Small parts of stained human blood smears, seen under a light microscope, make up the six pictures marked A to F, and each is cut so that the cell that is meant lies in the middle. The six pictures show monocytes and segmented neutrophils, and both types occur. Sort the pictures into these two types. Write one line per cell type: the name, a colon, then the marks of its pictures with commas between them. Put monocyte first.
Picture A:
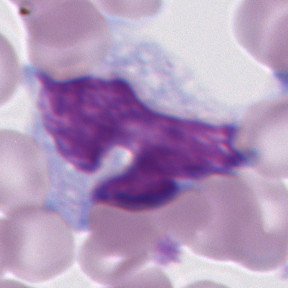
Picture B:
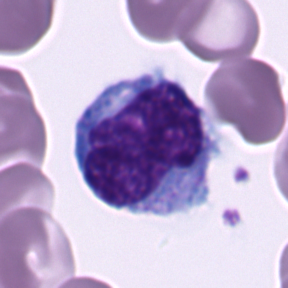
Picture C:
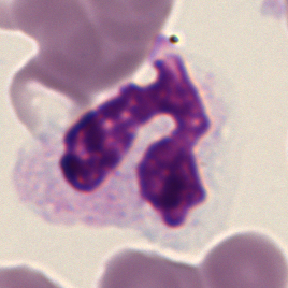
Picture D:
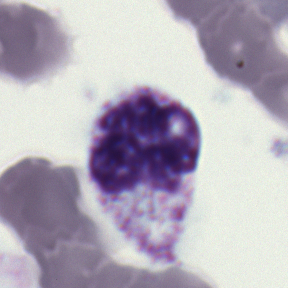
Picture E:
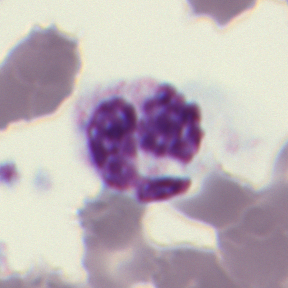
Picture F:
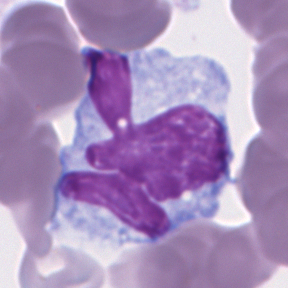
monocyte: A, B, F
segmented neutrophil: C, D, E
